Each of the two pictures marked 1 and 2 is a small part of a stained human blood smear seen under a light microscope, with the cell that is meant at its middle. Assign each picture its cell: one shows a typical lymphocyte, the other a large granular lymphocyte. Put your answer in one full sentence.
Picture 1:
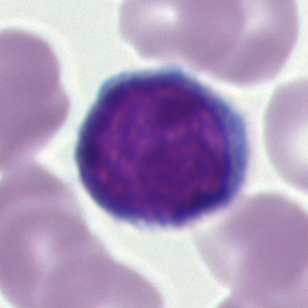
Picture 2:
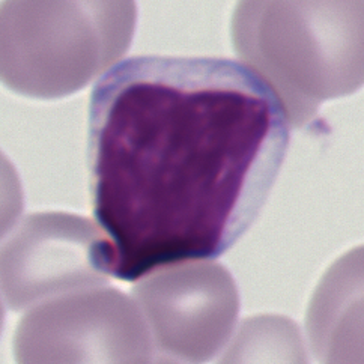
In picture 1 the cell is a typical lymphocyte; in picture 2, a large granular lymphocyte.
